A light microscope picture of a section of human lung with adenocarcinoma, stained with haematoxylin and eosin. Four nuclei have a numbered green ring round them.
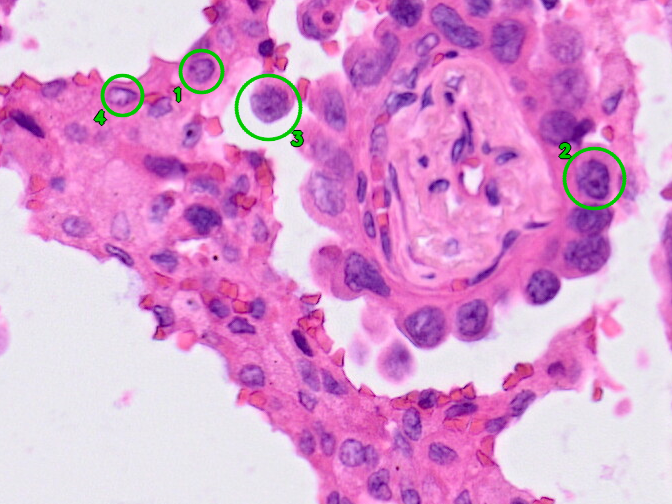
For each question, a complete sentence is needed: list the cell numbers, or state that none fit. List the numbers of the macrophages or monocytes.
Classified as macrophages or monocytes are the cells numbered 1 and 4.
